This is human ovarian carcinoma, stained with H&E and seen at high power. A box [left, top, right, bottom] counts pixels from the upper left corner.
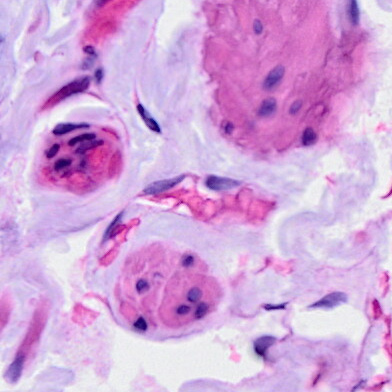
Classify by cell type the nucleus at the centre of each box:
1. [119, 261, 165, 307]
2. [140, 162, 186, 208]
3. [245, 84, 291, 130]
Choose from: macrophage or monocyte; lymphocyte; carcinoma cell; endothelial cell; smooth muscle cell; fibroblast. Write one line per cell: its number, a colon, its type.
1: smooth muscle cell
2: endothelial cell
3: smooth muscle cell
